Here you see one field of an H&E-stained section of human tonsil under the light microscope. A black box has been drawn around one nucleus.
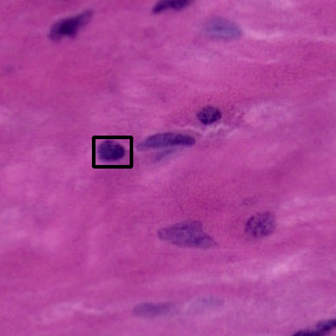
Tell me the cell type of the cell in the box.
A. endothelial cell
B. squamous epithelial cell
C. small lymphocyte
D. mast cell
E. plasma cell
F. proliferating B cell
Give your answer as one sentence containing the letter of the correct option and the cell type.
Option D is right in classifying the cell in the box as a mast cell.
